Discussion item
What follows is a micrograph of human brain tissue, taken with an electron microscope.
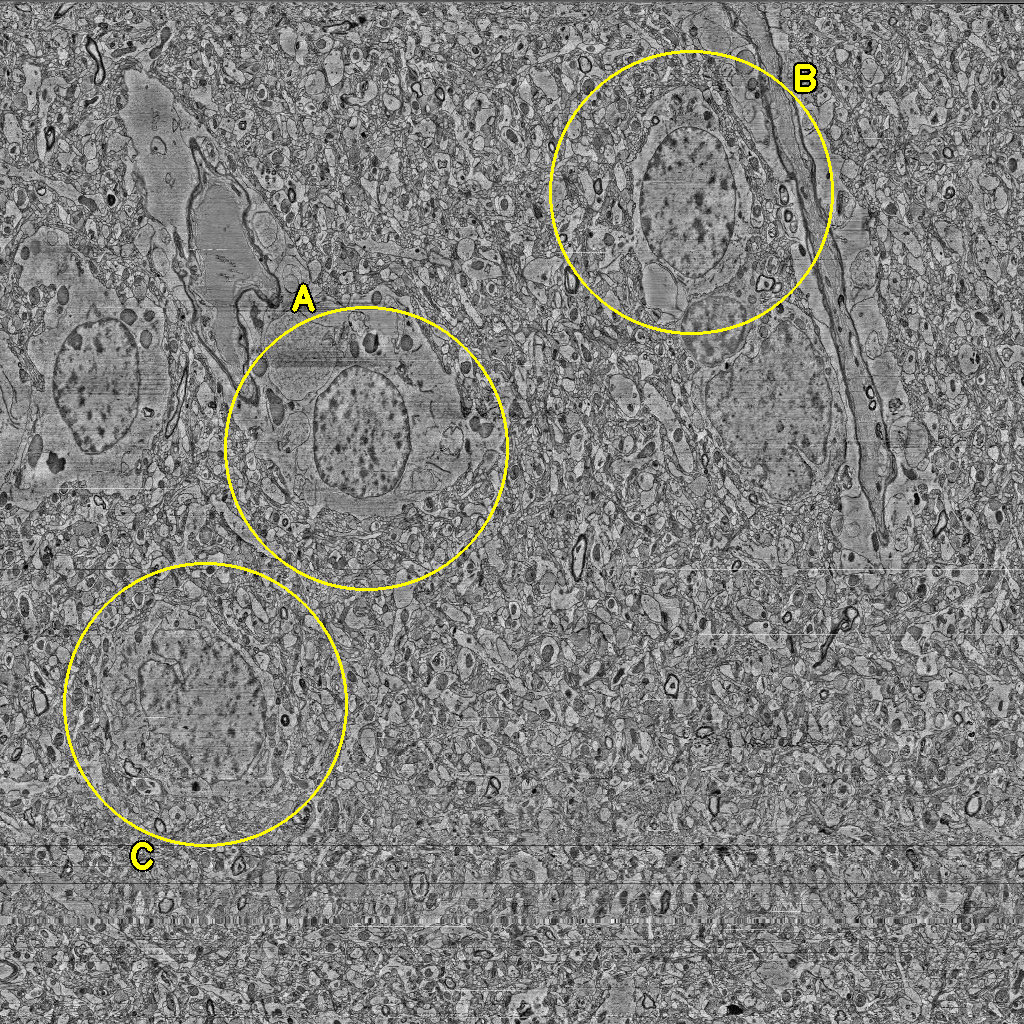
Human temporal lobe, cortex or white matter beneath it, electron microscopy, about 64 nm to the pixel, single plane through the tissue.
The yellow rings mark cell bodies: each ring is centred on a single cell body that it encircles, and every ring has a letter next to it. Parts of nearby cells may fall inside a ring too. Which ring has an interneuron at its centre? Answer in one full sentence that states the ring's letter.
Ring C is the ring whose centre falls on the cell the question asks about.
